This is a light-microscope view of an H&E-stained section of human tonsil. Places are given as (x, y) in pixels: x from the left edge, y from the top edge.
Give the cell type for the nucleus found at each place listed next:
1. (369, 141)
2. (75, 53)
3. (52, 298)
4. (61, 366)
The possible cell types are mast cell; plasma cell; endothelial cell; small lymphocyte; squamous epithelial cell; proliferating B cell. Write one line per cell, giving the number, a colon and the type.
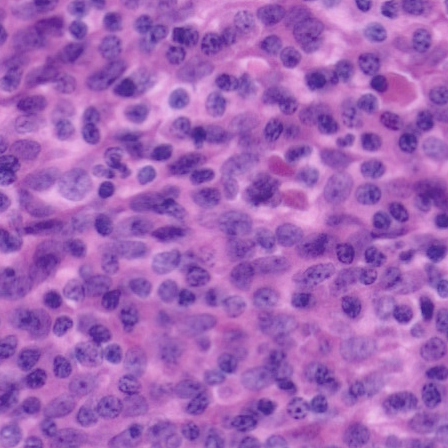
1: plasma cell
2: squamous epithelial cell
3: plasma cell
4: plasma cell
